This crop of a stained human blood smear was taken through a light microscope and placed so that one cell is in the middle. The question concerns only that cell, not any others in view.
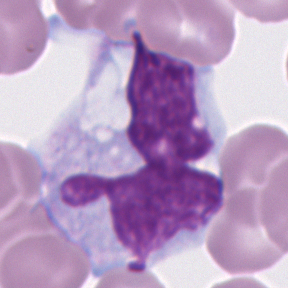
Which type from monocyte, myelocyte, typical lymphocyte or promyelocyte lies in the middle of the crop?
monocyte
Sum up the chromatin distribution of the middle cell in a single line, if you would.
Answer: the chromatin is fine and has no coarse clumps.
